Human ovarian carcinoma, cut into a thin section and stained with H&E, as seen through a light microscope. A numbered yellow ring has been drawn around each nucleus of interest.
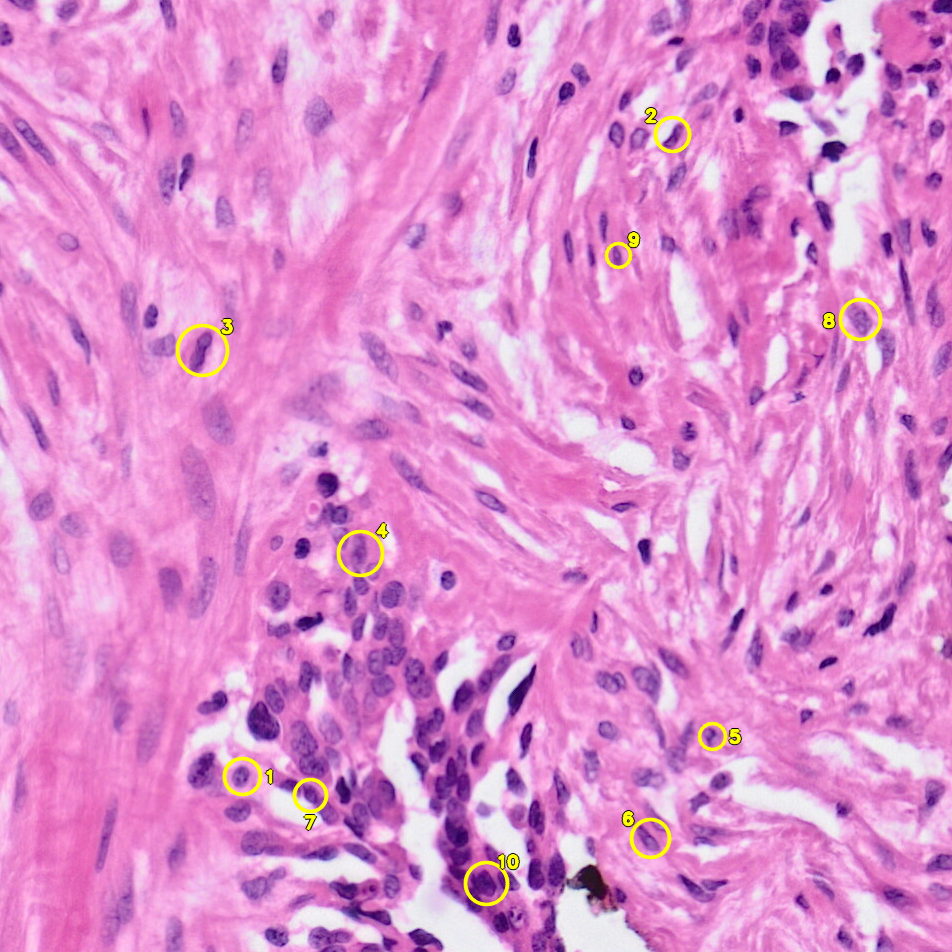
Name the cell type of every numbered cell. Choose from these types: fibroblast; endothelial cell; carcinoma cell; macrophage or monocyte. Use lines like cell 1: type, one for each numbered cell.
cell 1: macrophage or monocyte
cell 2: fibroblast
cell 3: fibroblast
cell 4: carcinoma cell
cell 5: fibroblast
cell 6: fibroblast
cell 7: carcinoma cell
cell 8: fibroblast
cell 9: fibroblast
cell 10: carcinoma cell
